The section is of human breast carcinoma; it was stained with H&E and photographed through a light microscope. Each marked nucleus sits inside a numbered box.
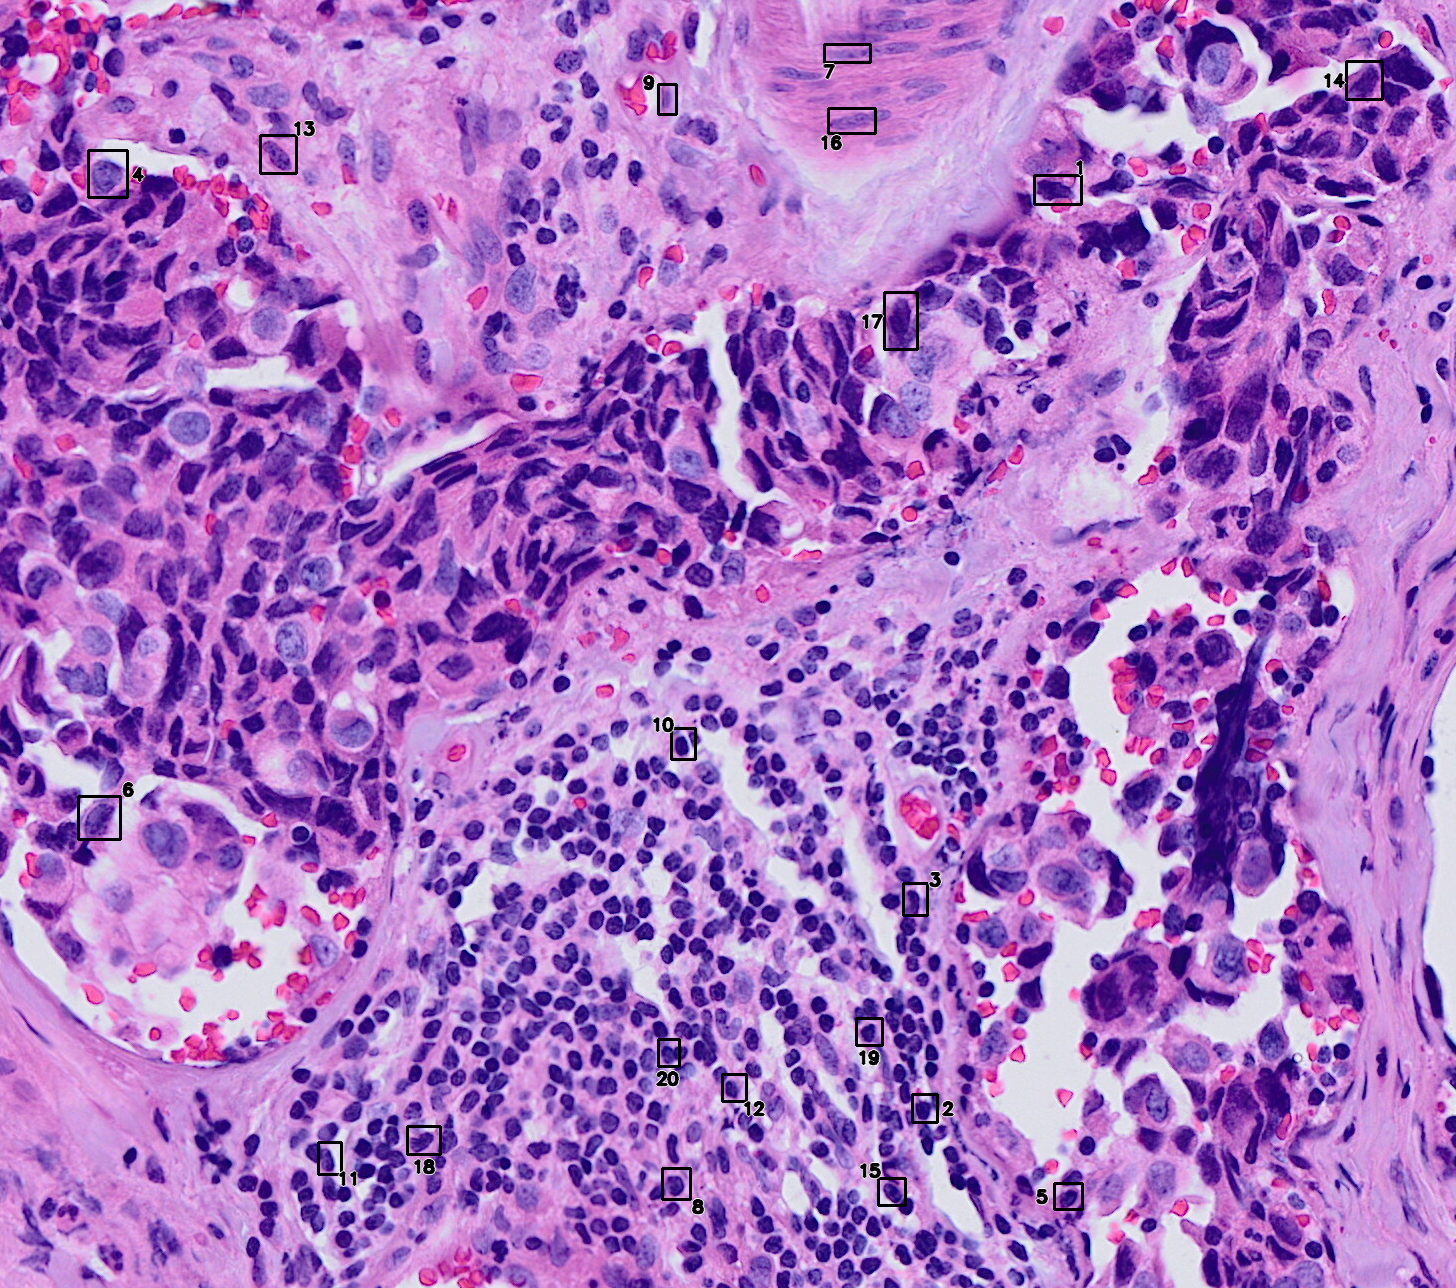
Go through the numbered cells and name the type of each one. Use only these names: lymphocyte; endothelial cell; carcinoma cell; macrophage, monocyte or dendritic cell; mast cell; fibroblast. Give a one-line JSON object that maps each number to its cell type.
{"1": "carcinoma cell", "2": "lymphocyte", "3": "lymphocyte", "4": "carcinoma cell", "5": "lymphocyte", "6": "carcinoma cell", "7": "endothelial cell", "8": "lymphocyte", "9": "endothelial cell", "10": "lymphocyte", "11": "lymphocyte", "12": "lymphocyte", "13": "mast cell", "14": "carcinoma cell", "15": "lymphocyte", "16": "endothelial cell", "17": "carcinoma cell", "18": "lymphocyte", "19": "lymphocyte", "20": "lymphocyte"}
